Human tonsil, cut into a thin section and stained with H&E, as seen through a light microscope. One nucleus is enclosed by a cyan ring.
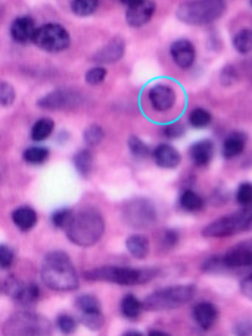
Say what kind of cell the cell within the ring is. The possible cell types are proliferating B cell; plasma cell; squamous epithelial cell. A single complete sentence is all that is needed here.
Labelled by cell type, the cell within the ring is a plasma cell.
